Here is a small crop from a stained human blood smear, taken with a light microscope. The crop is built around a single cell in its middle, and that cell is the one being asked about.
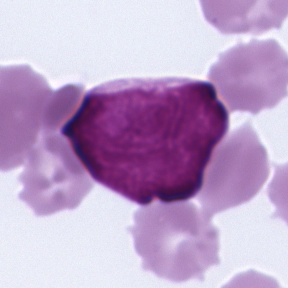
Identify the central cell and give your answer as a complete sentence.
The cell at the heart of this crop is a myeloblast.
